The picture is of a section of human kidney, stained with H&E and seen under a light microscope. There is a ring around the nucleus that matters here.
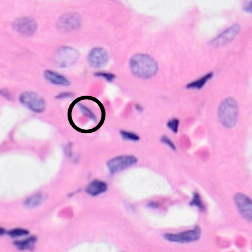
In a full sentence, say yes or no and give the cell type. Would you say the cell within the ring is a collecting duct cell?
No, the cell within the ring counts as an endothelial cell, not a collecting duct cell.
